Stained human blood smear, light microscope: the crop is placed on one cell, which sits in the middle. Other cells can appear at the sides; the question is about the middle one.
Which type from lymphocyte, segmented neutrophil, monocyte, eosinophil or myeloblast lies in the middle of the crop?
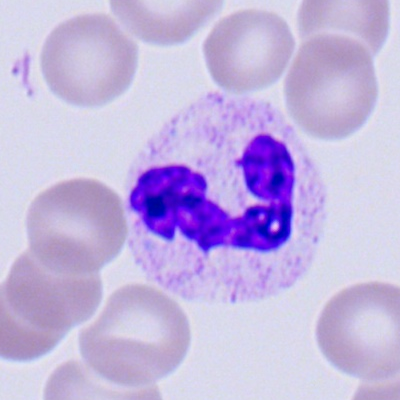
segmented neutrophil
